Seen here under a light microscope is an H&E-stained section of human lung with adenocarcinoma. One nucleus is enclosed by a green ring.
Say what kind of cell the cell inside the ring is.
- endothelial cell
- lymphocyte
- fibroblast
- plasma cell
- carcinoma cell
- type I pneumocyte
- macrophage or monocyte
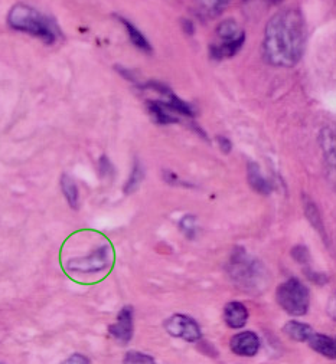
fibroblast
